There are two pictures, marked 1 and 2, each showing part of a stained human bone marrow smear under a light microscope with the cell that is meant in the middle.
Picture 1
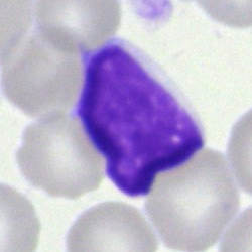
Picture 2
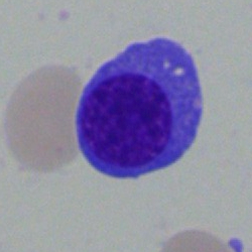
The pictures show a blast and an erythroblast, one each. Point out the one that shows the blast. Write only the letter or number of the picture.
1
